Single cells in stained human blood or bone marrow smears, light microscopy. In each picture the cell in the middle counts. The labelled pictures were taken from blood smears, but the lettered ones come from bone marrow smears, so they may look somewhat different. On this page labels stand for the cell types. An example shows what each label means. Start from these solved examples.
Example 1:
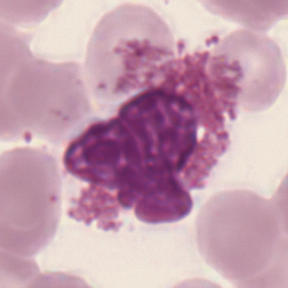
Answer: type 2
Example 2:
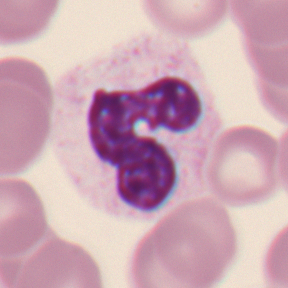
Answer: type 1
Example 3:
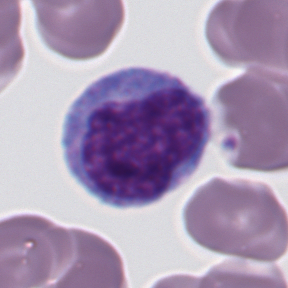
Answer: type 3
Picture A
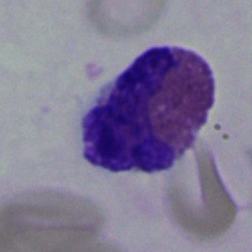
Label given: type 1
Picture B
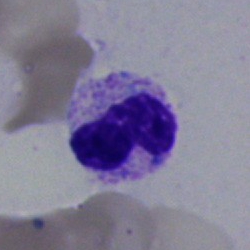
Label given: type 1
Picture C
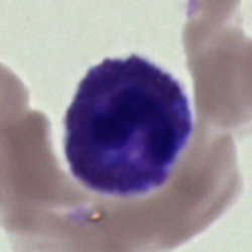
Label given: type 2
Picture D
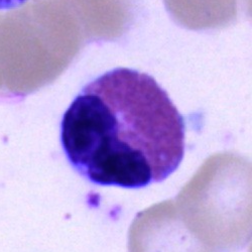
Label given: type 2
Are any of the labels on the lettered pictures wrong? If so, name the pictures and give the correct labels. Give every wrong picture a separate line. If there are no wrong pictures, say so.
A: change type 1 to type 2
